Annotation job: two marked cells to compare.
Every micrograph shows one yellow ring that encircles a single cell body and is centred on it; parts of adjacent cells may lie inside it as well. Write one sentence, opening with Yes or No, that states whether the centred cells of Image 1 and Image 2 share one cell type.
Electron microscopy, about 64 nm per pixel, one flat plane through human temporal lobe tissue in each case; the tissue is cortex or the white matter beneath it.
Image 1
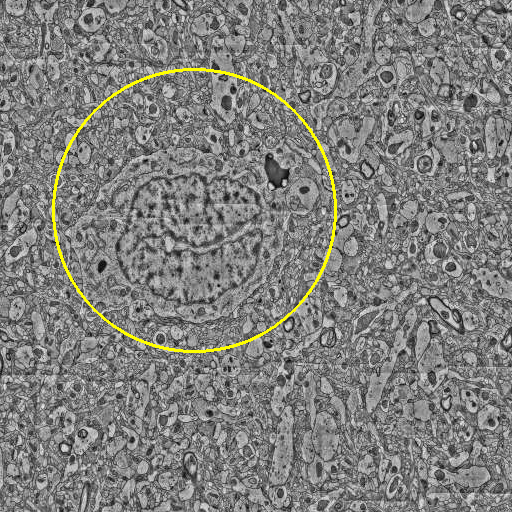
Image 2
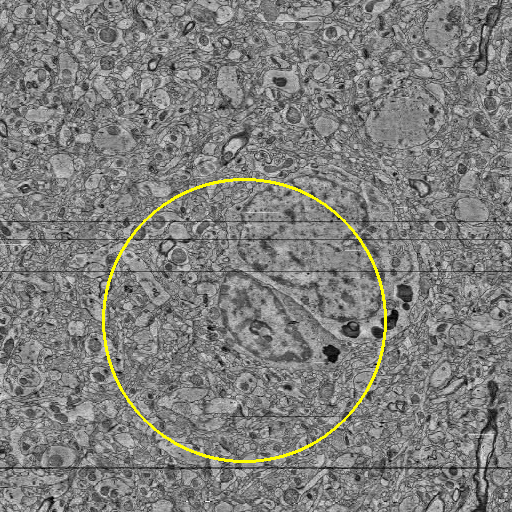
No, the cell centred in Image 1 and the cell centred in Image 2 are of two types.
